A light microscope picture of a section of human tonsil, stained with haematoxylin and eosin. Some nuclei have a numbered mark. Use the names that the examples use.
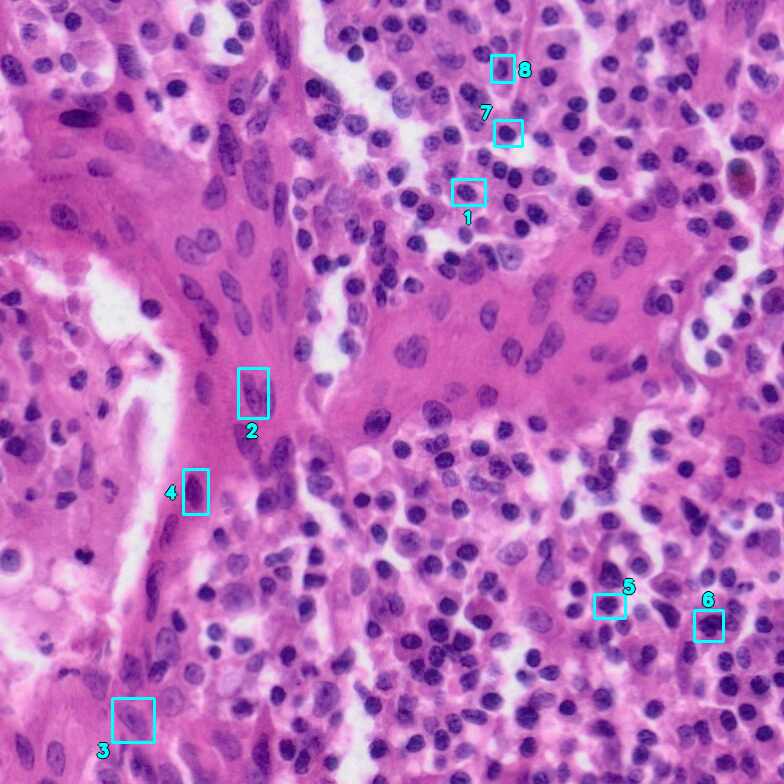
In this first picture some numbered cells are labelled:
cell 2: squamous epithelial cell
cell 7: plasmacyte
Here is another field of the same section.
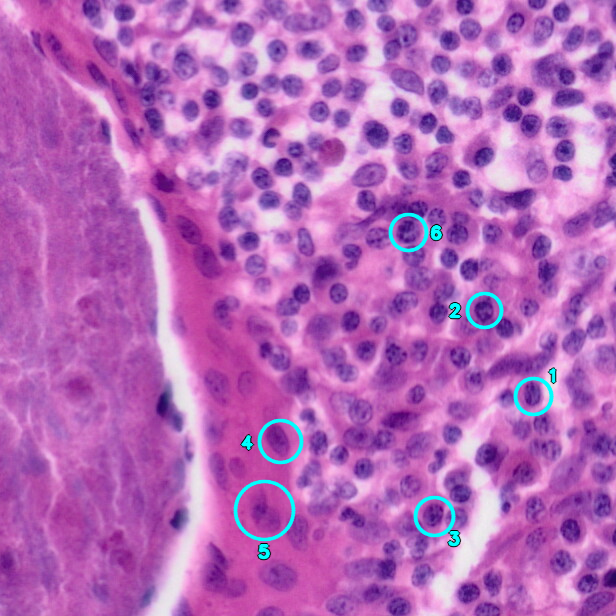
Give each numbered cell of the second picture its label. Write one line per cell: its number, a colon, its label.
1: plasmacyte
2: plasmacyte
3: plasmacyte
4: squamous epithelial cell
5: squamous epithelial cell
6: plasmacyte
